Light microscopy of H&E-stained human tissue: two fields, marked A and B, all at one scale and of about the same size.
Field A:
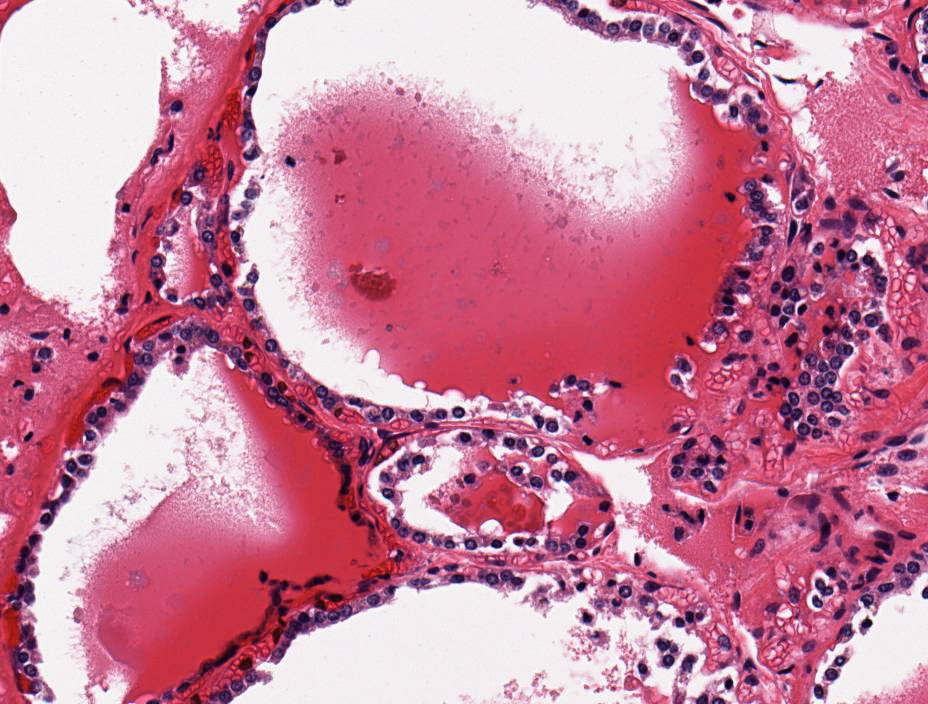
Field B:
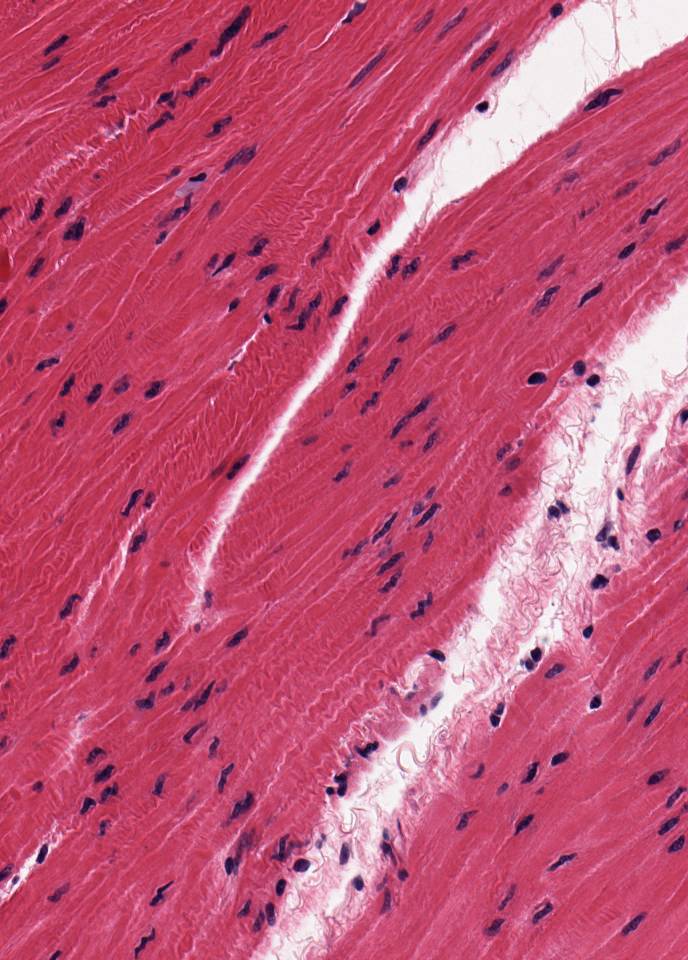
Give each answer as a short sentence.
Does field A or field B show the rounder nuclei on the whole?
The nuclei are rounder in field A.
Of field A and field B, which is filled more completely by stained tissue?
Less of field B is empty and white.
